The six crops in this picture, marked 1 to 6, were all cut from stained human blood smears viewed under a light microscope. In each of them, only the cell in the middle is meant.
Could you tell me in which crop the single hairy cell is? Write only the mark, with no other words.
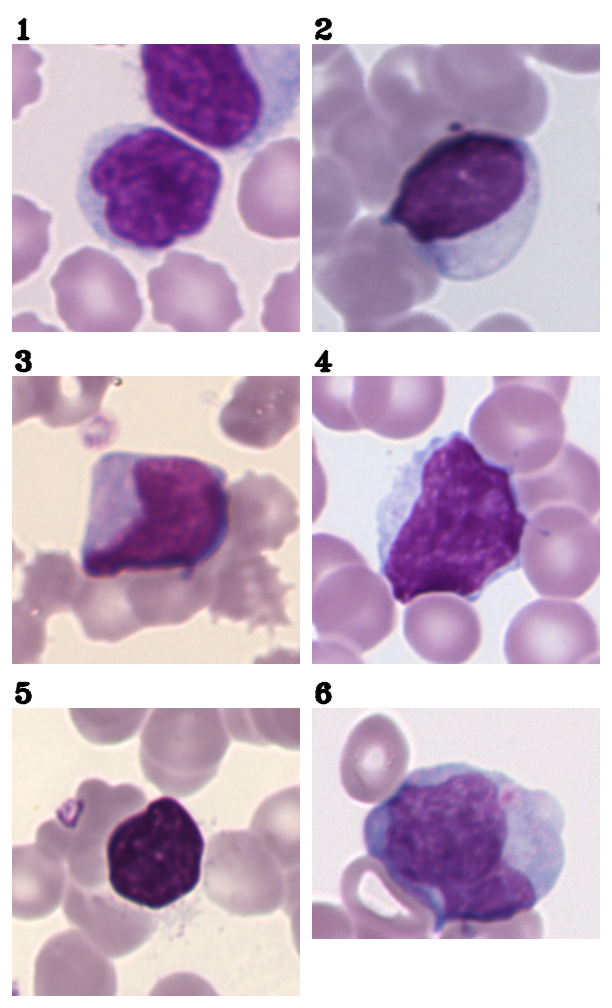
1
